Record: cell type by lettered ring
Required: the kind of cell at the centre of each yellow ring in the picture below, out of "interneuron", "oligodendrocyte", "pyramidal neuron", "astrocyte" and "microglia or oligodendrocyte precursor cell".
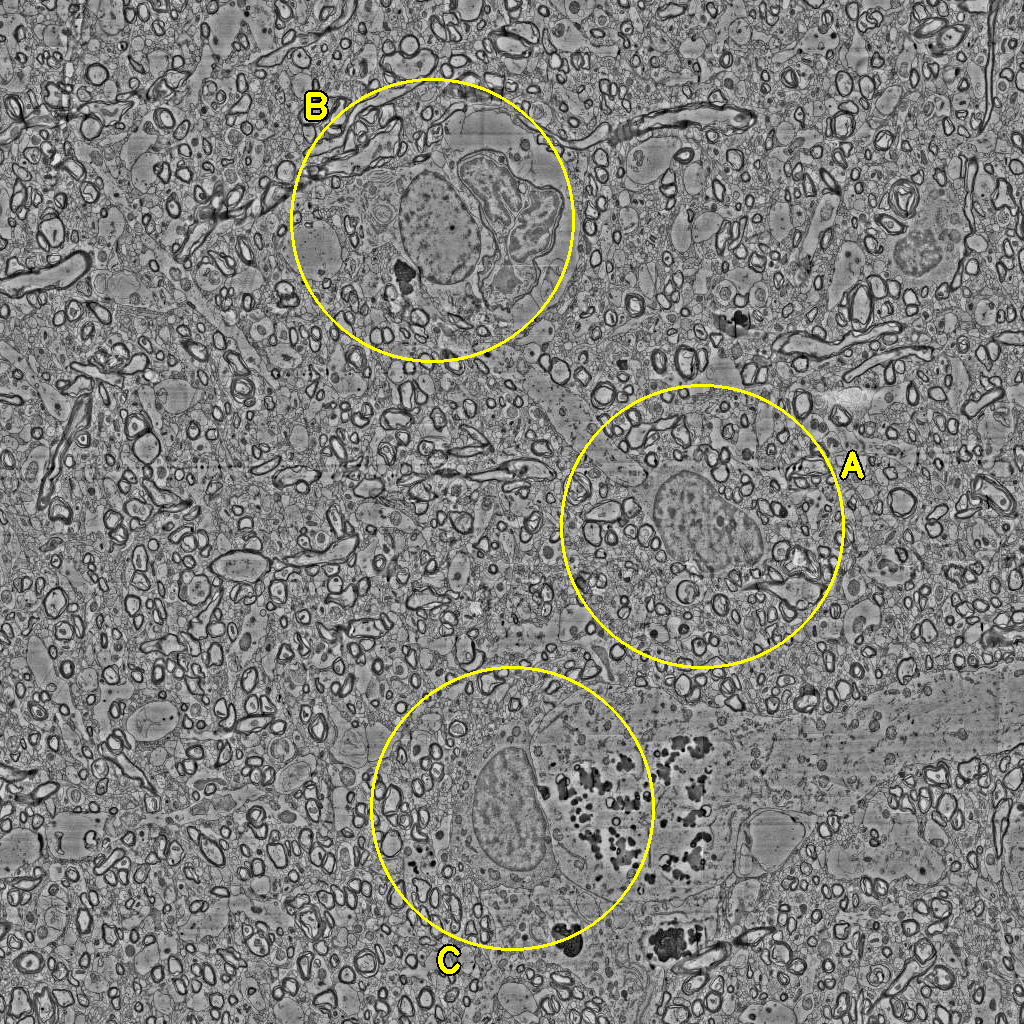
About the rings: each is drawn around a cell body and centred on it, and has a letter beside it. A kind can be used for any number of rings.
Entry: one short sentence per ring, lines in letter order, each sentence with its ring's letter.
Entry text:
At ring A we have an oligodendrocyte.
At ring B we have a microglial cell or oligodendrocyte precursor cell.
At ring C we have an oligodendrocyte.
